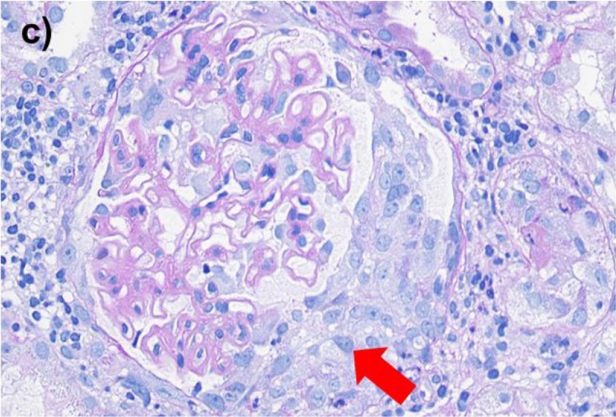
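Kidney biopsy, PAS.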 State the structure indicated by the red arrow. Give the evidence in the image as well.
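Cellular crescents. A layered mass of plump cells with pale cytoplasm fills the space between the tuft and the capsule at lower right. The mass has a crescent form and presses on the glomerular tuft.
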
